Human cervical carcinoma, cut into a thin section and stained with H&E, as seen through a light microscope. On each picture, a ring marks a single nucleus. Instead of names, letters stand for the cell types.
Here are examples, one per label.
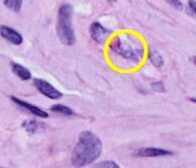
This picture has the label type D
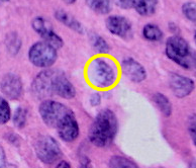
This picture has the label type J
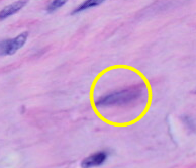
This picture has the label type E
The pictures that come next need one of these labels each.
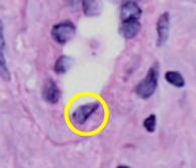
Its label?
type D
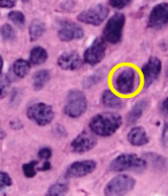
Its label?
type J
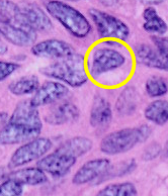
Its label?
type J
